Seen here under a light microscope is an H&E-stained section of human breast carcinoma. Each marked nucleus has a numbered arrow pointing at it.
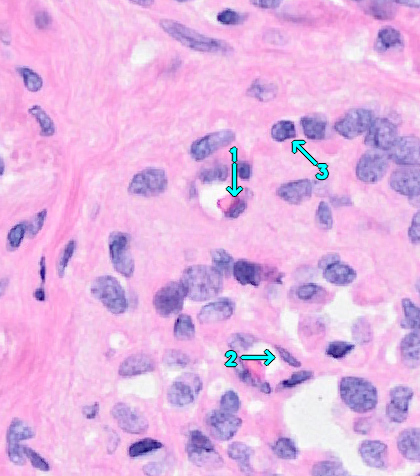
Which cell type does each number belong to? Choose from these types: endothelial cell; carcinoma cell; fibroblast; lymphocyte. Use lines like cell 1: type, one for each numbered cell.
cell 1: endothelial cell
cell 2: endothelial cell
cell 3: lymphocyte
